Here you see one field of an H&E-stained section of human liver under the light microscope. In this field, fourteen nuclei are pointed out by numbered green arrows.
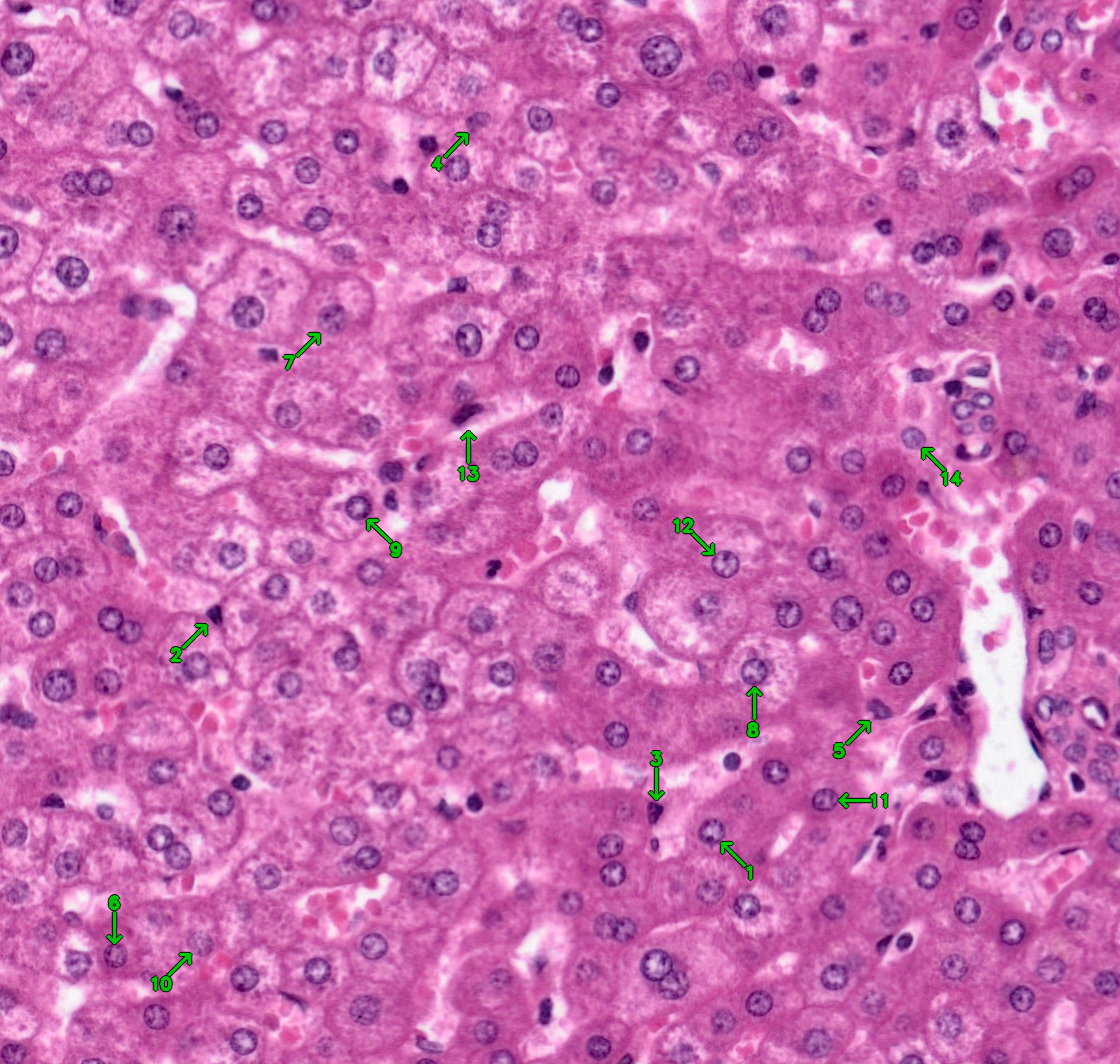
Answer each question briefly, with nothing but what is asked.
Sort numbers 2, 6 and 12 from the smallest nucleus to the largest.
2, 6, 12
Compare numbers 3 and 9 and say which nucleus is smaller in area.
3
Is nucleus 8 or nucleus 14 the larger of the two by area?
8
